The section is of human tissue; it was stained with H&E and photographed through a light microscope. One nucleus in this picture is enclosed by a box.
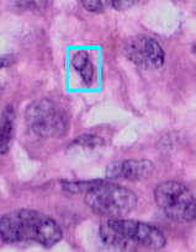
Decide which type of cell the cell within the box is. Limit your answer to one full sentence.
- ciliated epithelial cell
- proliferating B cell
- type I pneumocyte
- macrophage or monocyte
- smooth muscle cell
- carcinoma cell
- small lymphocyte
The cell type represented by the cell within the box is that of a macrophage or monocyte.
